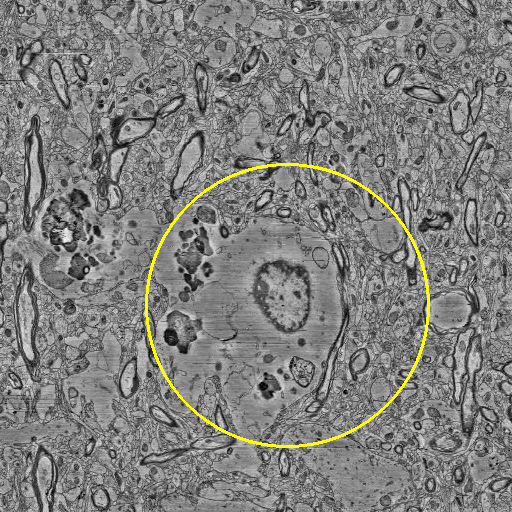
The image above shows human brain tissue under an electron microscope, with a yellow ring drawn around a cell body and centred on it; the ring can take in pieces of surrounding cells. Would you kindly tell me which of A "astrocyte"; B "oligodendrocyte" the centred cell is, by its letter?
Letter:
A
